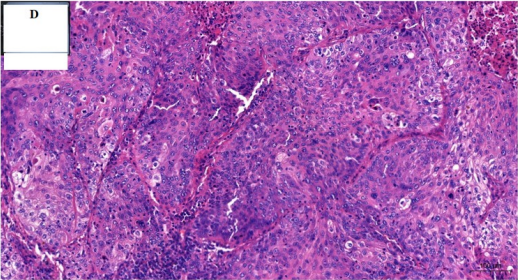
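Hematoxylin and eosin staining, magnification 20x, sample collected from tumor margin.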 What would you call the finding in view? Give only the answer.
Squamous cell carcinoma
